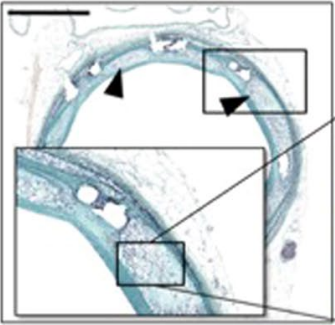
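This is a stented artery in cross section. The thin ring of the wall stains blue-green. The enlarged inset shows that this inner layer is pale and bubbly. That look fits lipid-laden, foamy macrophages gathered in the thickened new lining. Loose connective tissue lies outside the vessel.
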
